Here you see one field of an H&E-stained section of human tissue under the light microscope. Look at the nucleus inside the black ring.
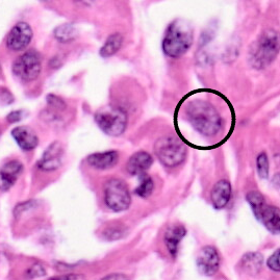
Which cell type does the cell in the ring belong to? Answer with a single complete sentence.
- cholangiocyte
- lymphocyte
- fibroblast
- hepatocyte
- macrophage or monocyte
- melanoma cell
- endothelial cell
In the tissue under study, the cell in the ring is a melanoma cell.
